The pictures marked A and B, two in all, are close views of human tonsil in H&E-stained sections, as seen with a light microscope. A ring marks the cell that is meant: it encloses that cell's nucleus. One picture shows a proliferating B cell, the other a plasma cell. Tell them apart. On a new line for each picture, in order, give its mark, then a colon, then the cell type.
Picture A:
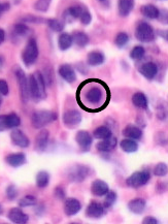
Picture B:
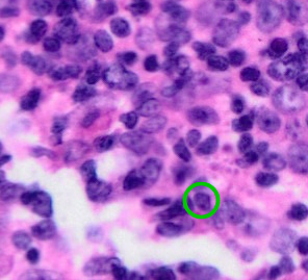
A: plasma cell
B: proliferating B cell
